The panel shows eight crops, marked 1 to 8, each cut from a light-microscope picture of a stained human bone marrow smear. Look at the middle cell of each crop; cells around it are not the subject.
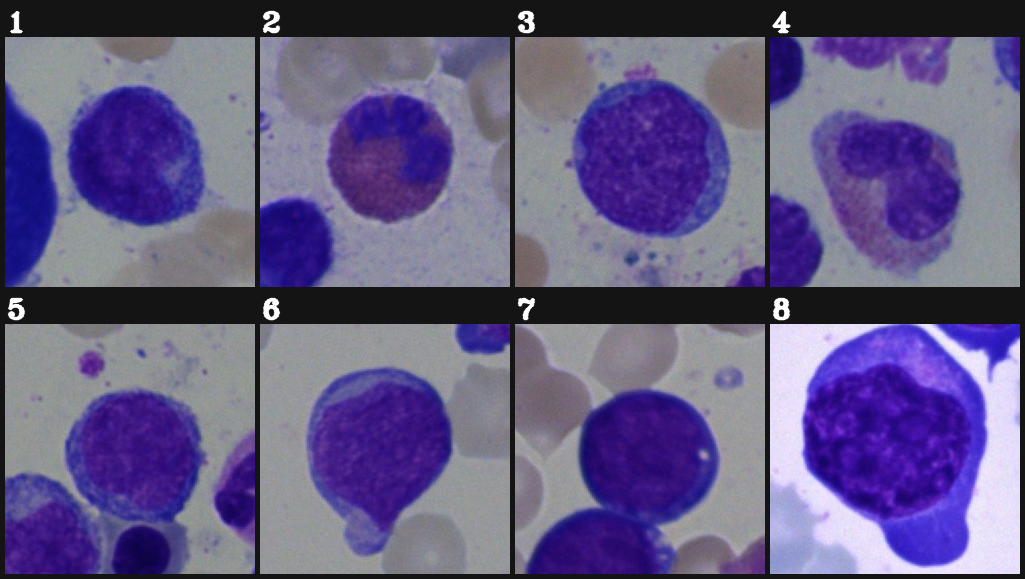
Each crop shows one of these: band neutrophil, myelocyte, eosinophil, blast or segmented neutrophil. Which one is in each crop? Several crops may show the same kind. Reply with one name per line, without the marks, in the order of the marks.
blast
eosinophil
blast
eosinophil
blast
blast
blast
blast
